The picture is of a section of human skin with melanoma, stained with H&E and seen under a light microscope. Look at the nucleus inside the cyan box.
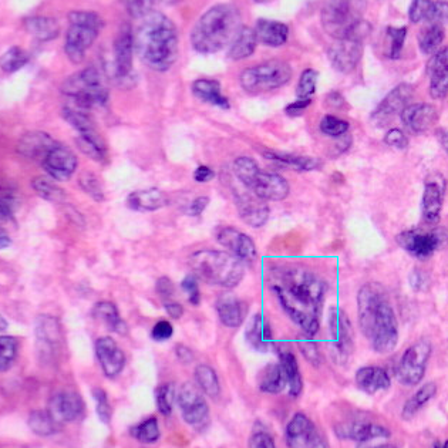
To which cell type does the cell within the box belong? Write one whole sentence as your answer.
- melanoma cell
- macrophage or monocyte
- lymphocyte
The cell within the box appears to be a melanoma cell.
